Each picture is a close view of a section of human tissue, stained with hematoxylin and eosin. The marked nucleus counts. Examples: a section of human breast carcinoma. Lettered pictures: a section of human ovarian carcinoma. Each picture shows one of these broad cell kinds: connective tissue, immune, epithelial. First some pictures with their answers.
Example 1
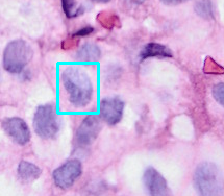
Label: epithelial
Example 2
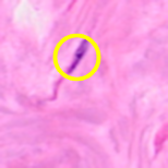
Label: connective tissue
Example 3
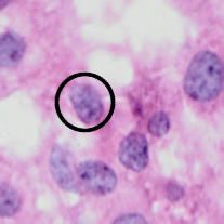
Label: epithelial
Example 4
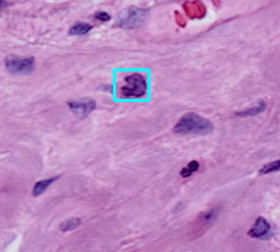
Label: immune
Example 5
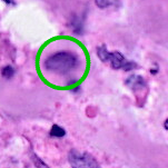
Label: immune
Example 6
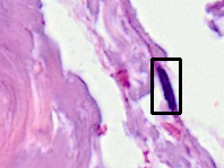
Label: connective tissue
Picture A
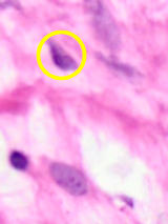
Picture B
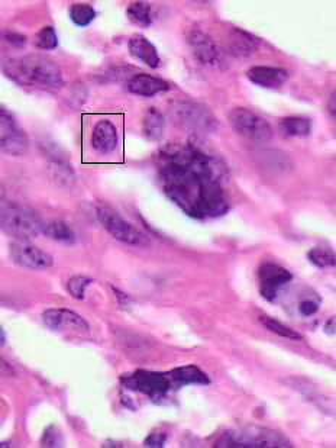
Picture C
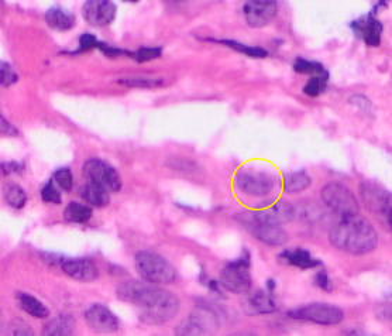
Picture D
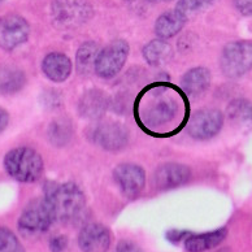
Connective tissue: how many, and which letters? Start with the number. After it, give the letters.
1, namely A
